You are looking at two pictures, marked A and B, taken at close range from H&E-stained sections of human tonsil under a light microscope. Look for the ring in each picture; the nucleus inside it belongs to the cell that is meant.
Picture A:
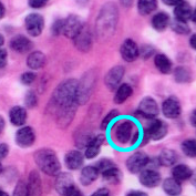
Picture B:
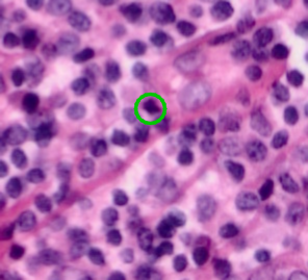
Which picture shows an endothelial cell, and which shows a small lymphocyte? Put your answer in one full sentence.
Picture A is of a small lymphocyte, and picture B is of an endothelial cell.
